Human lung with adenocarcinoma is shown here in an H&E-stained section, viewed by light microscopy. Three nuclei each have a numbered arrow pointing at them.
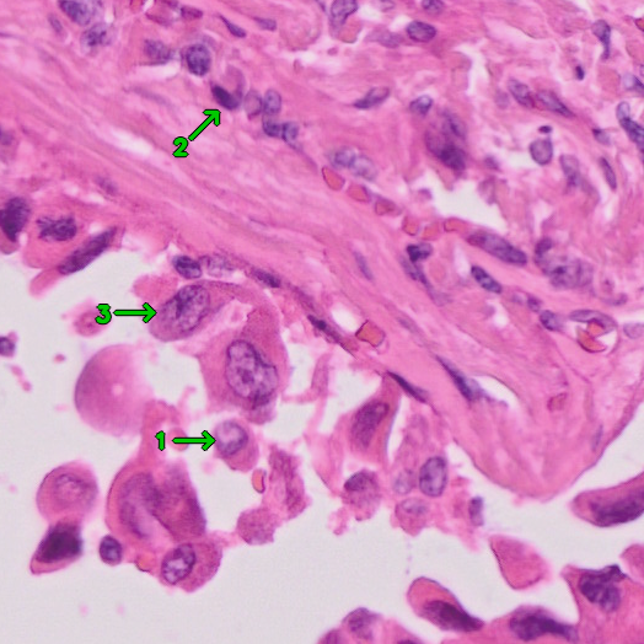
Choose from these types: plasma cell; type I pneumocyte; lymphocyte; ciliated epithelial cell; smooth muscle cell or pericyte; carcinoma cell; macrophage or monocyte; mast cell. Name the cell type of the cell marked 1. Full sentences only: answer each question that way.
The numeral 1 marks a macrophage or monocyte in this section.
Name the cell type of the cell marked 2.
The cell identified by the number 2 is a plasma cell.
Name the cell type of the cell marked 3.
In this section, the cell tagged 3 is a carcinoma cell.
